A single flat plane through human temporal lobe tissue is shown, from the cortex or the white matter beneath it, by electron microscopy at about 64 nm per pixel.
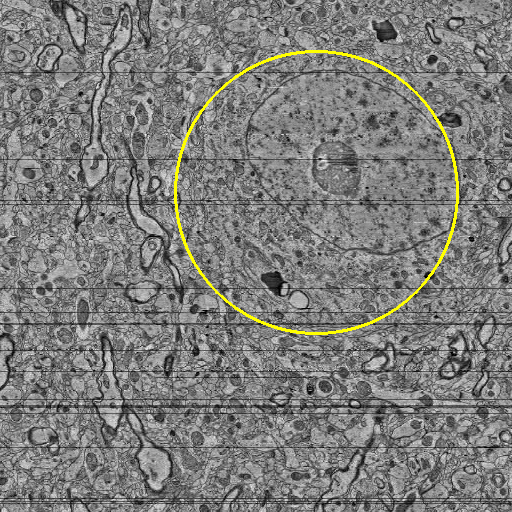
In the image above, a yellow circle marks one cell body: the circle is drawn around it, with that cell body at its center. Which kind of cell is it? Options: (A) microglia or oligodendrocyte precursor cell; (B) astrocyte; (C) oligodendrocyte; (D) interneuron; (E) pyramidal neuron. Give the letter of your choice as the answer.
E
